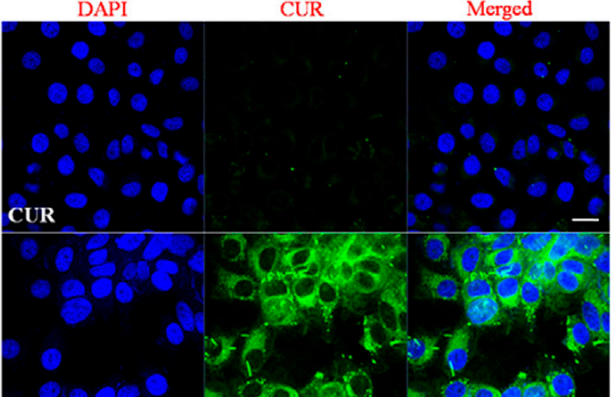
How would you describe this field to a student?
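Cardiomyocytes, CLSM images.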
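The blue channel shows many oval nuclei of fairly even size, spaced apart as in a sheet of flat cells. In the upper row the green channel is almost dark, with only faint specks. In the lower row bright green fills the cytoplasm around each nucleus and outlines the cell bodies, while the nuclei themselves stay mostly free of green.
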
